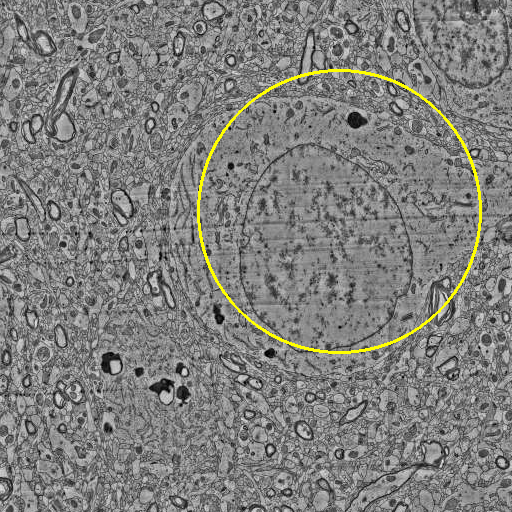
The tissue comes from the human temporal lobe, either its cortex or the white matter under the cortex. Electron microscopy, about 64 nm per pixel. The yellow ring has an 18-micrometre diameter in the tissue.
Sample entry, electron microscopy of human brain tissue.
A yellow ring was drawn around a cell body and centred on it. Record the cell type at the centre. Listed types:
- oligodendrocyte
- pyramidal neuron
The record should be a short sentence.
The cell at the ring's centre is a pyramidal neuron.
